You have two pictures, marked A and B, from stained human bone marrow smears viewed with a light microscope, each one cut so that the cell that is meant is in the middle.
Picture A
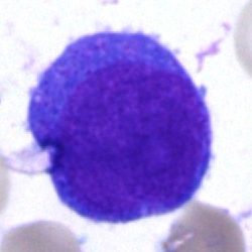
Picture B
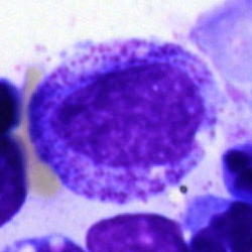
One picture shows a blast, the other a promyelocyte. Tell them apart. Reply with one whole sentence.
In picture A the cell is a blast; in picture B, a promyelocyte.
